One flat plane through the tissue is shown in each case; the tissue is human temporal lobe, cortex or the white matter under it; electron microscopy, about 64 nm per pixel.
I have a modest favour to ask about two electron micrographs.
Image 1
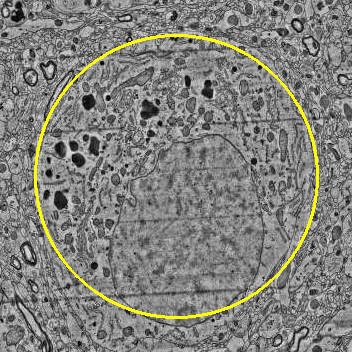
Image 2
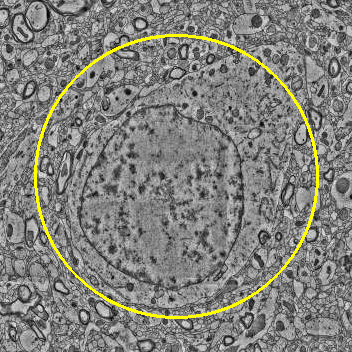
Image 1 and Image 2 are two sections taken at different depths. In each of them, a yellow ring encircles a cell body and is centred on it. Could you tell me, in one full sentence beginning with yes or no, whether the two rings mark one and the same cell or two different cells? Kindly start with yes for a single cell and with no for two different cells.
No, it is two different cells that the rings mark.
